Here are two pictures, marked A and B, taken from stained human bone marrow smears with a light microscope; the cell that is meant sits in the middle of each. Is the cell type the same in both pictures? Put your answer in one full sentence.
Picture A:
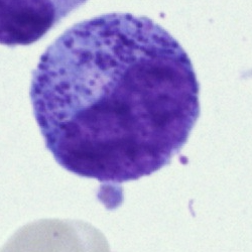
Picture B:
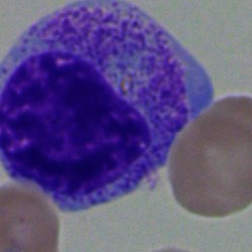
Yes, they are the same type: both are promyelocytes.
